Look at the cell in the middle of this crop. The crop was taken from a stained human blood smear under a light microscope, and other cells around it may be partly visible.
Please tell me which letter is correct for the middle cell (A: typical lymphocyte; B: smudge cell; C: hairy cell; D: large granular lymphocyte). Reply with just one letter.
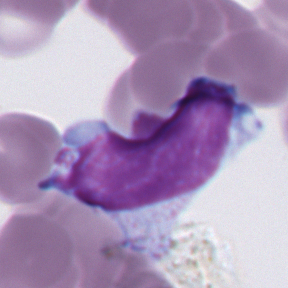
A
